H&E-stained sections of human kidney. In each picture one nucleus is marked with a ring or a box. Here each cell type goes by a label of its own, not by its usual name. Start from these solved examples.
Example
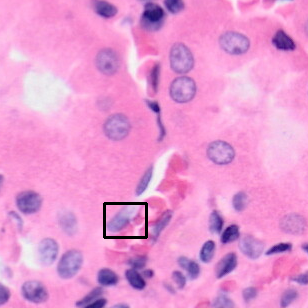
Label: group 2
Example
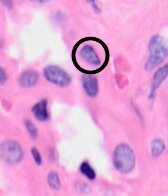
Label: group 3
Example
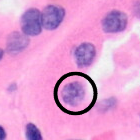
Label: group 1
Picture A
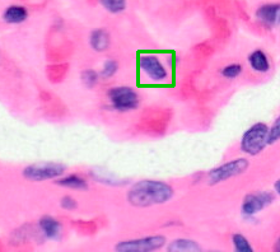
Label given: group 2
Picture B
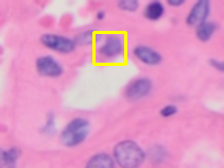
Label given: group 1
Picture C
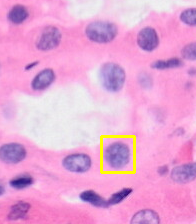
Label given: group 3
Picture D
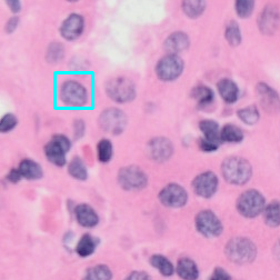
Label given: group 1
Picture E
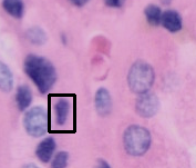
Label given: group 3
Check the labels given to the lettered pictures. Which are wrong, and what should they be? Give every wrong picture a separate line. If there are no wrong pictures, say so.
Wrong: B (group 1); correct: group 3
Wrong: C (group 3); correct: group 1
